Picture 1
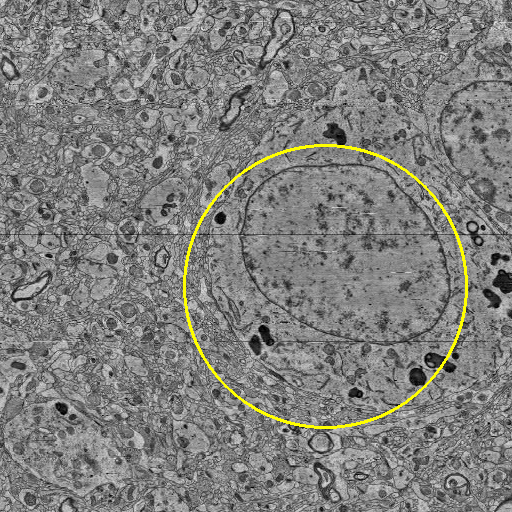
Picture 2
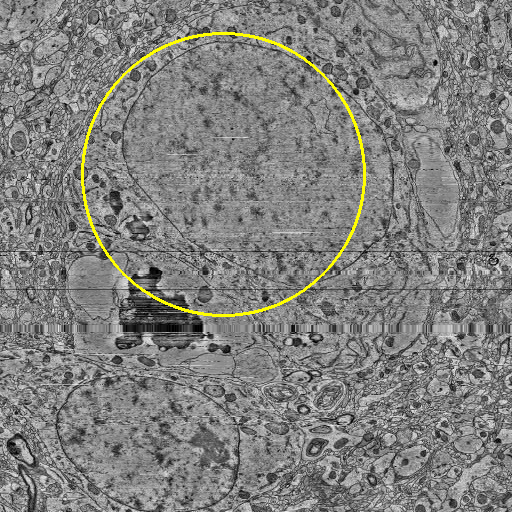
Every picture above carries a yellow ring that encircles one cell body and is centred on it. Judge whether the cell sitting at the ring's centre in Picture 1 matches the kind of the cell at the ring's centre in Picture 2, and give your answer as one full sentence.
Yes, the cells centred in the rings of Pictures 1 and 2 belong to one kind.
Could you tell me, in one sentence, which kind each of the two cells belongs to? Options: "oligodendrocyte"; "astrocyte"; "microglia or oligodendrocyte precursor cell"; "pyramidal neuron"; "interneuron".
The cell at the ring centre is a pyramidal neuron in both pictures.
